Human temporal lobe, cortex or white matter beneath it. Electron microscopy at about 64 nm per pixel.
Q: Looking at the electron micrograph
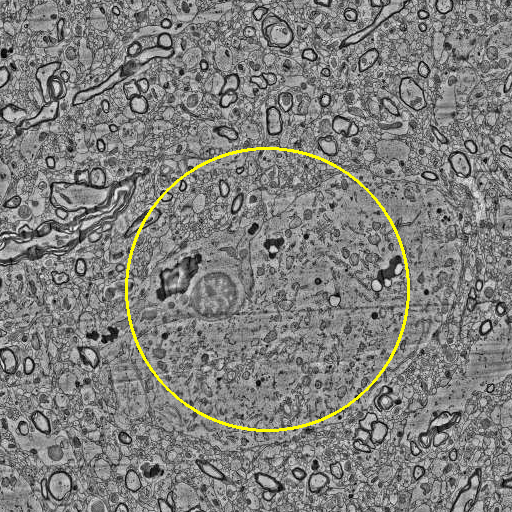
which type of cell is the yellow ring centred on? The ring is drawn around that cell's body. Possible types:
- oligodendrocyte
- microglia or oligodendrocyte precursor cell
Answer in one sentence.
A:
The yellow ring is centred on an oligodendrocyte.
